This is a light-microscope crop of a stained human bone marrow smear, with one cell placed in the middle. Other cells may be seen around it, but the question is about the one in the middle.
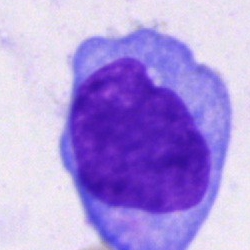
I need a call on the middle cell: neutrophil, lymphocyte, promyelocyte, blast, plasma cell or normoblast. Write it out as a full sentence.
In the central position of this crop, the cell is a blast.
